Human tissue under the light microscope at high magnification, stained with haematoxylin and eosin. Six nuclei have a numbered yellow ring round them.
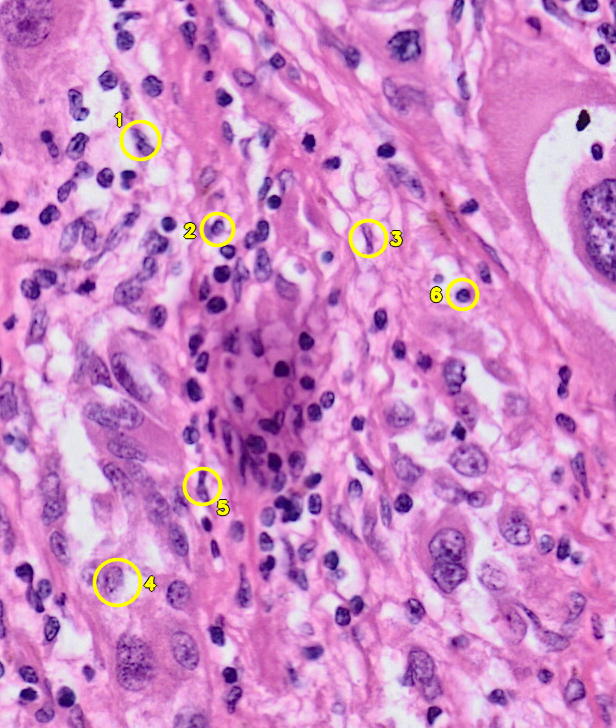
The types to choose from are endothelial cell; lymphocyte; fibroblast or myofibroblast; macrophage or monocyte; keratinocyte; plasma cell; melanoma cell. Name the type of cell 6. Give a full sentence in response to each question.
The cell with the number 6 is a lymphocyte.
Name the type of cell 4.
Here, the cell given the number 4 is a melanoma cell.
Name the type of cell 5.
The cell to which the number 5 is assigned is a fibroblast or myofibroblast.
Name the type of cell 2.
Cell number 2 in this section is a lymphocyte.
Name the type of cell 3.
The marked cell bearing number 3 is a fibroblast or myofibroblast.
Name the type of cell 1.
Heads up, the cell numbered 1 is a macrophage or monocyte.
